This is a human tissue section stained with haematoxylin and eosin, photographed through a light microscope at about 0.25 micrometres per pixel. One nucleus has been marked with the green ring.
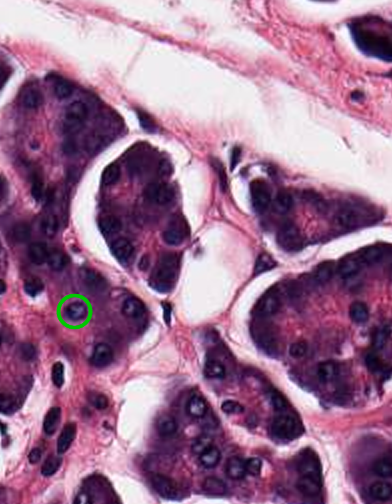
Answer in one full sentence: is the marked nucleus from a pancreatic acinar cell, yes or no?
Yes, the marked nucleus is a nucleus of a pancreatic acinar cell.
